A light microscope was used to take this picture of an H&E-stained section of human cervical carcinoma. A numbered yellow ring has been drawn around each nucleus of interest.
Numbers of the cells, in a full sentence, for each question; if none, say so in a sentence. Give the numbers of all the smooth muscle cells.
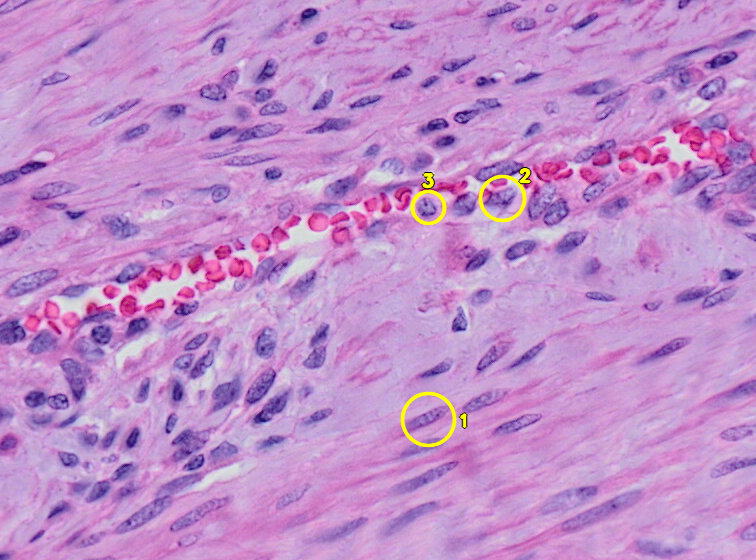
There is only one numbered cell that is a smooth muscle cell, and it is cell 1.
